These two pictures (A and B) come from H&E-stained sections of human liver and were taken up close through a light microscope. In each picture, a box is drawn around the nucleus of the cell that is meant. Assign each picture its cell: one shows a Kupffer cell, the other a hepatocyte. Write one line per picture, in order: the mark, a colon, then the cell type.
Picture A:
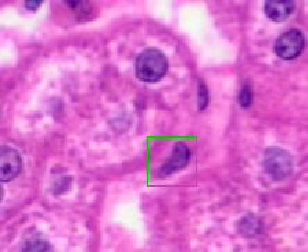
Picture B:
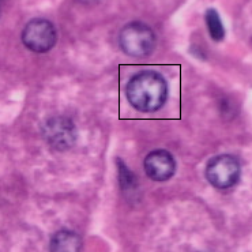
A: Kupffer cell
B: hepatocyte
